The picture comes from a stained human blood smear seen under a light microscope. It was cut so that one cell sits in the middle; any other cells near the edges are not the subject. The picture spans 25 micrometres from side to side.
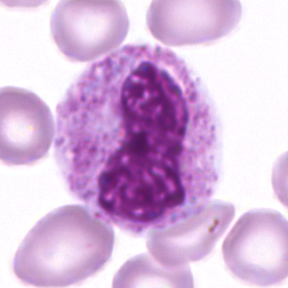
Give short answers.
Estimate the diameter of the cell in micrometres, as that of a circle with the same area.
15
